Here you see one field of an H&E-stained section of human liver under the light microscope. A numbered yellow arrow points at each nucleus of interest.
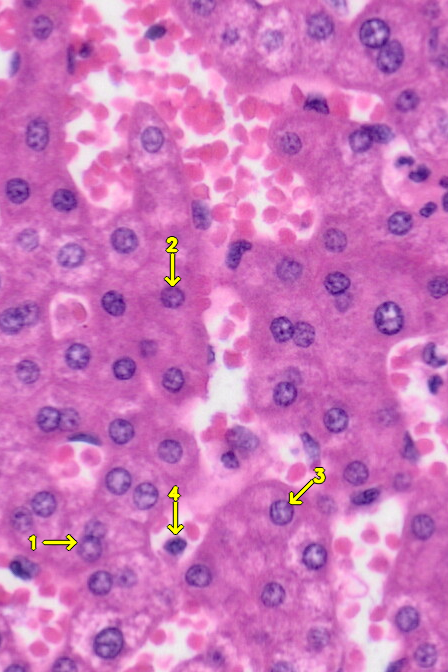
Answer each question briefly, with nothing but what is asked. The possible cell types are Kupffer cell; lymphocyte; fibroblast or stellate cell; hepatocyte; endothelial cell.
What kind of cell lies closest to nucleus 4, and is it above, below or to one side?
a hepatocyte; below and to the right of nucleus 4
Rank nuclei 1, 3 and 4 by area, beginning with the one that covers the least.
4, 3, 1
